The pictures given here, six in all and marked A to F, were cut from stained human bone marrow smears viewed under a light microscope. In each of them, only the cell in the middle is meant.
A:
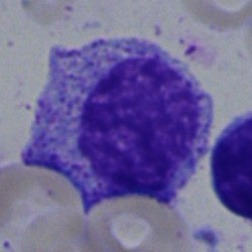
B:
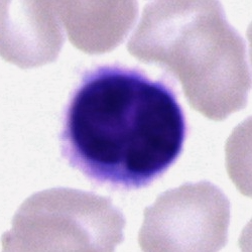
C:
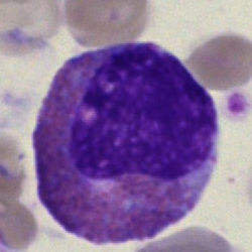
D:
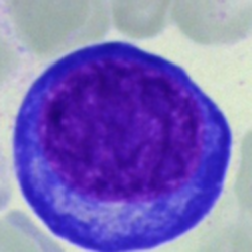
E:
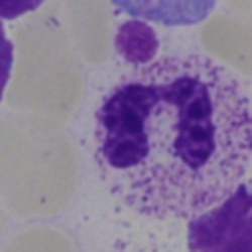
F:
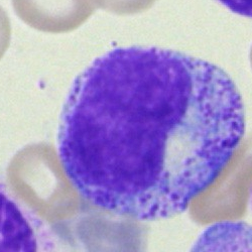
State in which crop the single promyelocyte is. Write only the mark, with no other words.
F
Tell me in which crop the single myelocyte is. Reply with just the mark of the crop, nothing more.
A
